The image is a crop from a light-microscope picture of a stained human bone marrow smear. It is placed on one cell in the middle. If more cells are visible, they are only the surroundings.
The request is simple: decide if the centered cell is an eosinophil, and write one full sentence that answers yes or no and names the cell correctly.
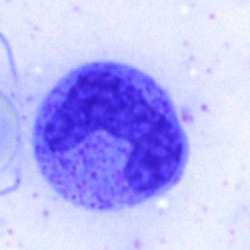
No, the central cell is reported as a band neutrophil rather than as an eosinophil.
